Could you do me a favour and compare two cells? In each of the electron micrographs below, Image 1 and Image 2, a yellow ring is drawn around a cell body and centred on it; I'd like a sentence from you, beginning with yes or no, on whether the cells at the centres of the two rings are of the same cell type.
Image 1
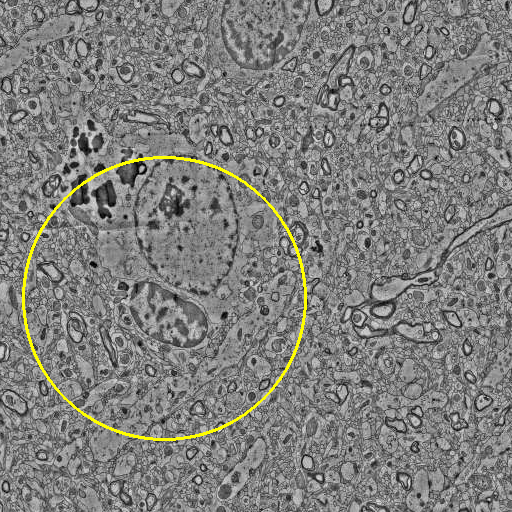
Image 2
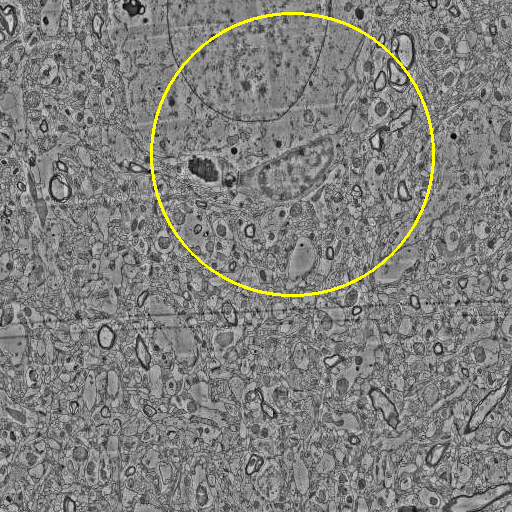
No, the two cells are of two cell types.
